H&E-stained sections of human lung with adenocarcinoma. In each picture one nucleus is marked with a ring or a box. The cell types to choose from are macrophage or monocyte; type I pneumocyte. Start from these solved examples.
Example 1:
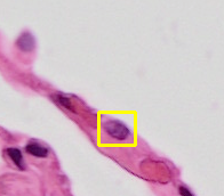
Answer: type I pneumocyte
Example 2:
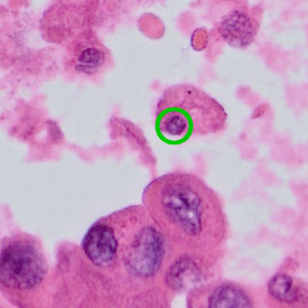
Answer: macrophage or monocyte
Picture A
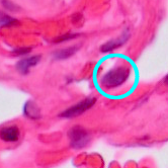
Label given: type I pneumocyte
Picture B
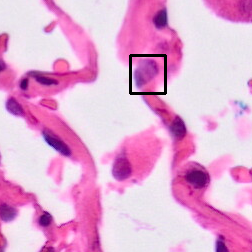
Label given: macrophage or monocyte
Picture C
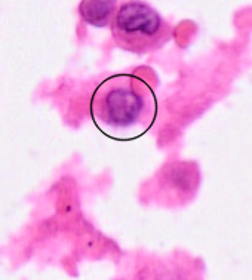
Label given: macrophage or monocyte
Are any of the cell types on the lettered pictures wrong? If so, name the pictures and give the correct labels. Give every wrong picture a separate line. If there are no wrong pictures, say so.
Wrong: B (macrophage or monocyte); correct: type I pneumocyte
